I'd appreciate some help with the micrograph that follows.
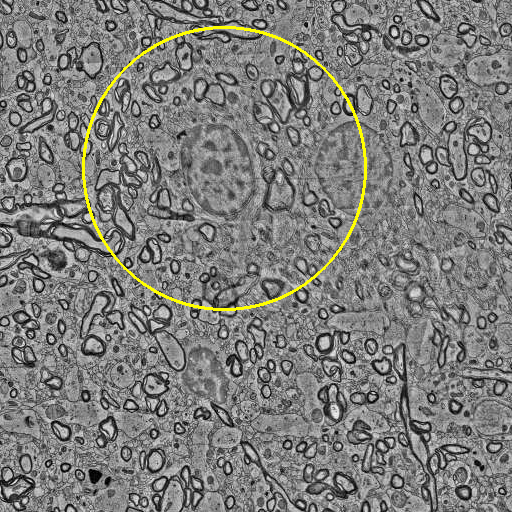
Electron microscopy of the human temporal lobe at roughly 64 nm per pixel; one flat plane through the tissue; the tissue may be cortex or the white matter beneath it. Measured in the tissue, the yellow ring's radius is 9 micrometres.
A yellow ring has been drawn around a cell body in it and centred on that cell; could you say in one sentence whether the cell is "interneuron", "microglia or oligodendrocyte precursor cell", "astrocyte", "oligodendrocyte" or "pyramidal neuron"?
It is a microglial cell or oligodendrocyte precursor cell at the centre of the ring.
